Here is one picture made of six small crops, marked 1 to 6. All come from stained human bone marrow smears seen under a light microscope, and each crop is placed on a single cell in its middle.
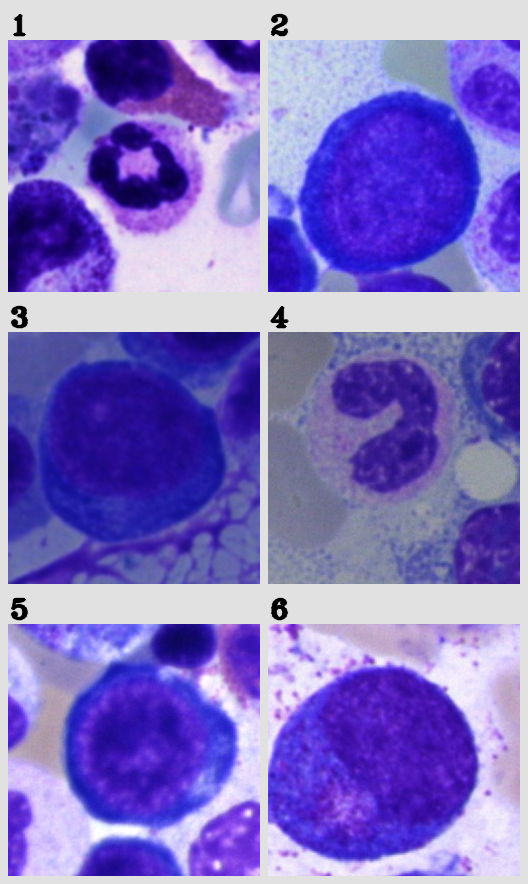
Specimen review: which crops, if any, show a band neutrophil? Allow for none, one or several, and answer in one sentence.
The crops, without exception, do not depict a band neutrophil.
